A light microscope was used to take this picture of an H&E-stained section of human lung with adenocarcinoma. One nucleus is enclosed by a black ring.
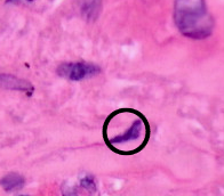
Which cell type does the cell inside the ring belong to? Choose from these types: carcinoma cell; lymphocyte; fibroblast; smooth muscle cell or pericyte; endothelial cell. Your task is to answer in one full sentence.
In the tissue at hand, the cell inside the ring is a fibroblast.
